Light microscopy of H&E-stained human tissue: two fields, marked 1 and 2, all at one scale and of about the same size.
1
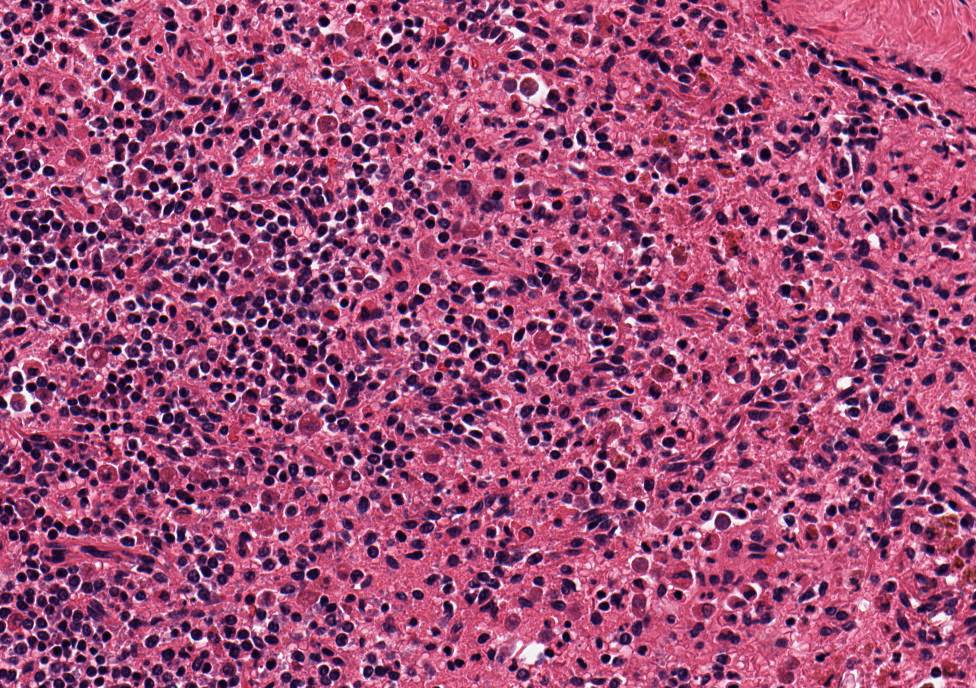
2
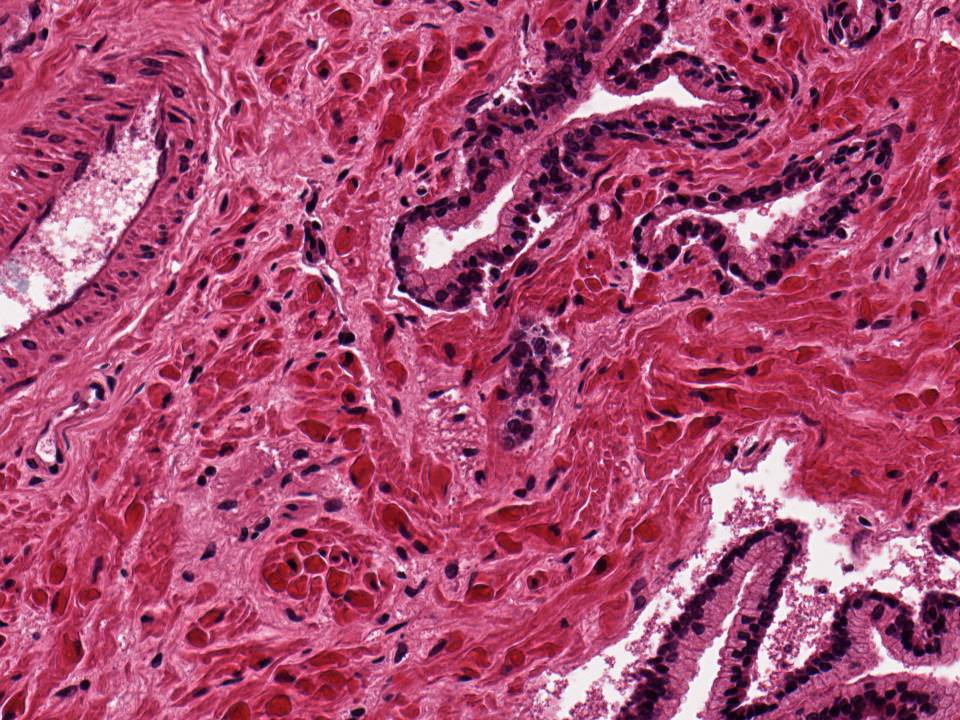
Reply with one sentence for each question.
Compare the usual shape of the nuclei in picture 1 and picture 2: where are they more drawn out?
The nuclei are more elongated in picture 2.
